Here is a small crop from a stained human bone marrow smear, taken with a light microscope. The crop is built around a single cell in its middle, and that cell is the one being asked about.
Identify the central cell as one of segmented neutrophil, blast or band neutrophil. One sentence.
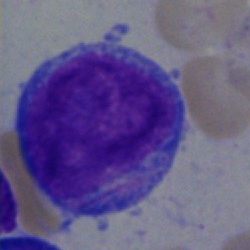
At the center of the crop sits a blast.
